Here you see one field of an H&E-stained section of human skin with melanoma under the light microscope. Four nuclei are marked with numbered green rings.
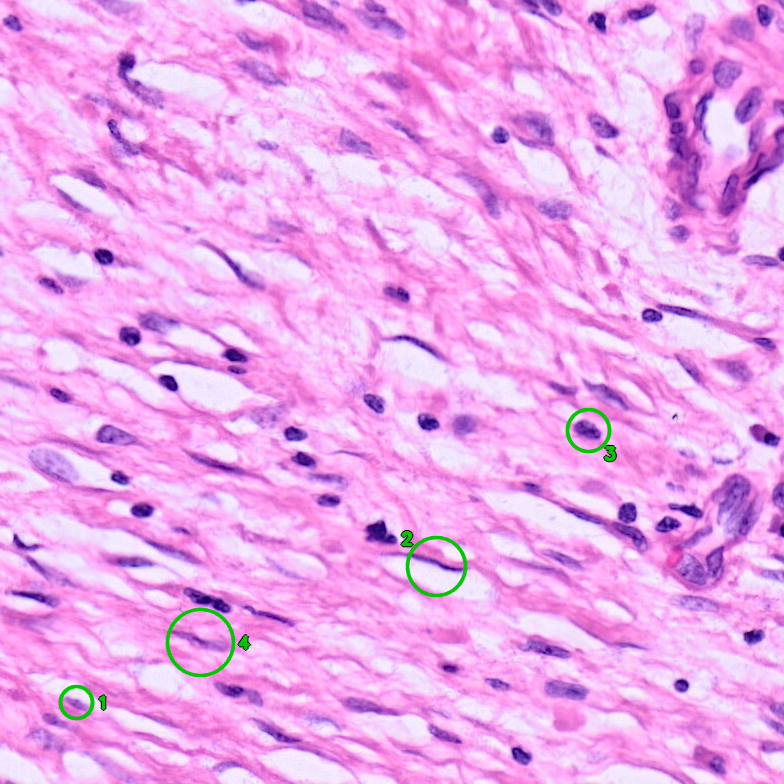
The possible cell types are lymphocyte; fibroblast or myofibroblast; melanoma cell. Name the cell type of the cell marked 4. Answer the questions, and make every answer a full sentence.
Cell 4, among those numbered, is a fibroblast or myofibroblast.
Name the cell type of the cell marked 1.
The cell that bears the number 1 is a fibroblast or myofibroblast.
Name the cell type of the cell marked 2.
Cell 2 of the marked set is a fibroblast or myofibroblast.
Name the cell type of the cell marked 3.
The cell identified by number 3 is a lymphocyte.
